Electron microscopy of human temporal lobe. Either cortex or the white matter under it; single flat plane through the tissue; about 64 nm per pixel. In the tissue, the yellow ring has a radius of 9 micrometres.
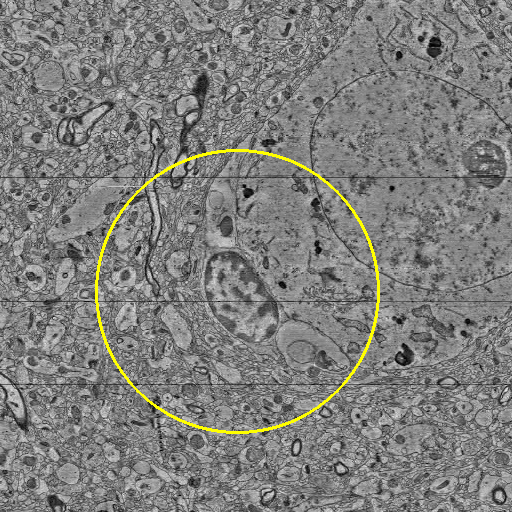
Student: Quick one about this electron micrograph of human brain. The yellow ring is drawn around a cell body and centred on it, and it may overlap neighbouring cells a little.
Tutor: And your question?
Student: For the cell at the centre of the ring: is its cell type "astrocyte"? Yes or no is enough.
no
